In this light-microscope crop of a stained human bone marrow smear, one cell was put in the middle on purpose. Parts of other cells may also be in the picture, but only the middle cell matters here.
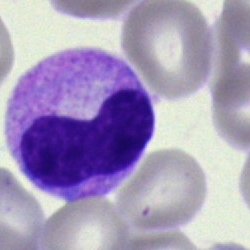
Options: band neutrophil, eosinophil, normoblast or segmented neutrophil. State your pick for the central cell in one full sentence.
The cell in the middle of the field of view is a band neutrophil.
